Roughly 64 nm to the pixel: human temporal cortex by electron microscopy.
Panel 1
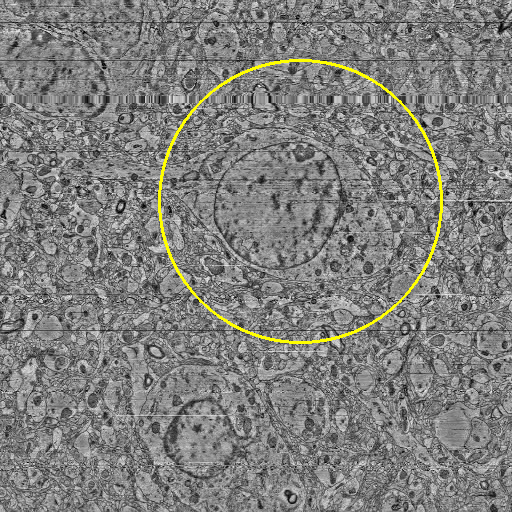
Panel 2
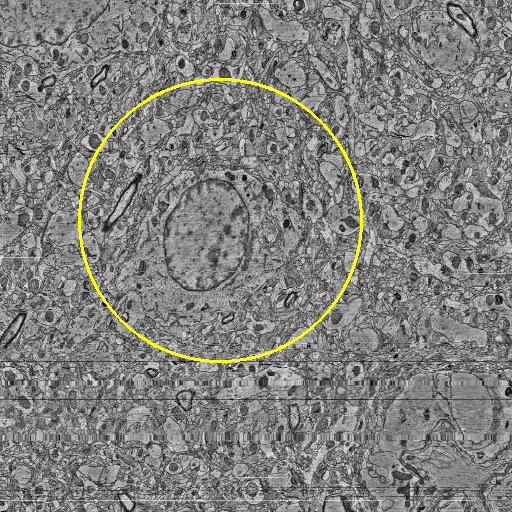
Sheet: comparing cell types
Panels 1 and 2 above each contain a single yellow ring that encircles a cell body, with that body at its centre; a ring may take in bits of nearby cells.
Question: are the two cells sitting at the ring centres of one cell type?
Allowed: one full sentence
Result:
Yes, the ring-centre cells in Panel 1 and Panel 2 are of one type.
